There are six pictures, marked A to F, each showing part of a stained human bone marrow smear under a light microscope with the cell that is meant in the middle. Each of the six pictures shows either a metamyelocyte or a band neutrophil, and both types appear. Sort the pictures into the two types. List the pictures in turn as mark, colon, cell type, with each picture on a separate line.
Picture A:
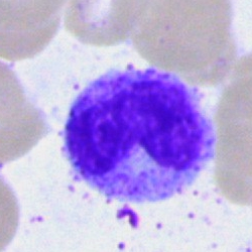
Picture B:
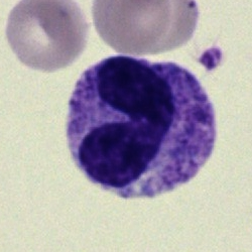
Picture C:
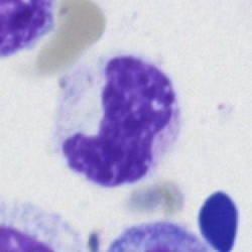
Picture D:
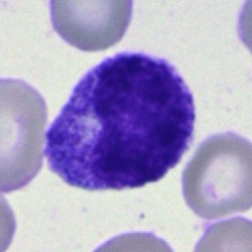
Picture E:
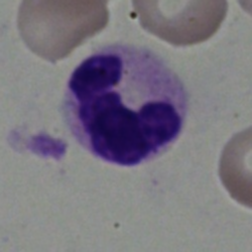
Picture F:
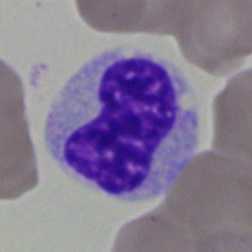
A: metamyelocyte
B: band neutrophil
C: band neutrophil
D: metamyelocyte
E: band neutrophil
F: metamyelocyte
